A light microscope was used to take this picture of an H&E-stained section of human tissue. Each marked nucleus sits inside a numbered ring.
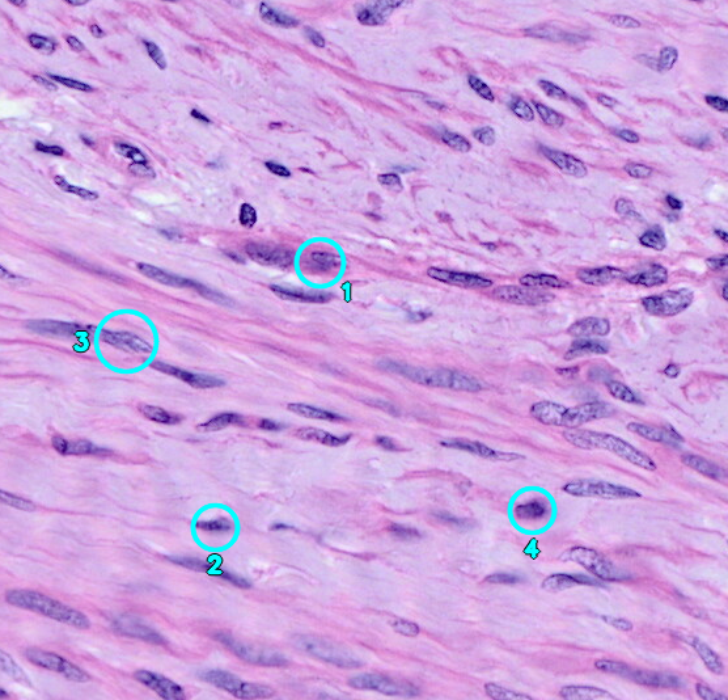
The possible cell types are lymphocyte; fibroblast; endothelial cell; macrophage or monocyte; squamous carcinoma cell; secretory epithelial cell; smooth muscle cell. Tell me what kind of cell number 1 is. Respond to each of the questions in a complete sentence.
The cell identified by the number 1 is an endothelial cell.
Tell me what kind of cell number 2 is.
Identified as a fibroblast is the cell bearing the number 2.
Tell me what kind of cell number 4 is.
The cell marked with the number 4 is a smooth muscle cell.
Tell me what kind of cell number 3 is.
As for number 3, that cell is a smooth muscle cell.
